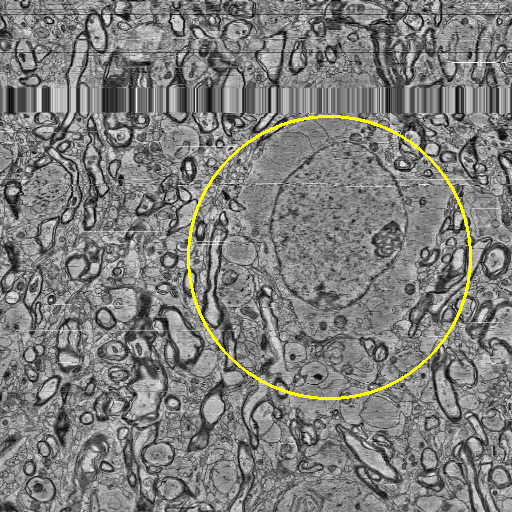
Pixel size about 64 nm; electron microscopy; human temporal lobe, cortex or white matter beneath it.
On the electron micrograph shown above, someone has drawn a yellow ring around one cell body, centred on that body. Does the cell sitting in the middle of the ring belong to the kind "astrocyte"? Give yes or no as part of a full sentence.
Yes, the cell located in the middle of the ring in the micrograph is of that kind.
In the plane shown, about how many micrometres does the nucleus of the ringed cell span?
Roughly 11 by 9 micrometres in this plane, for the nucleus of the ringed cell.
